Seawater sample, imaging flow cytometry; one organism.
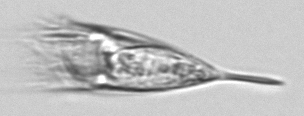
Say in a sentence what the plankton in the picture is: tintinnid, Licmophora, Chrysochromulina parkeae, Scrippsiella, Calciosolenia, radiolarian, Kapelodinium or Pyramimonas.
This is a tintinnid.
